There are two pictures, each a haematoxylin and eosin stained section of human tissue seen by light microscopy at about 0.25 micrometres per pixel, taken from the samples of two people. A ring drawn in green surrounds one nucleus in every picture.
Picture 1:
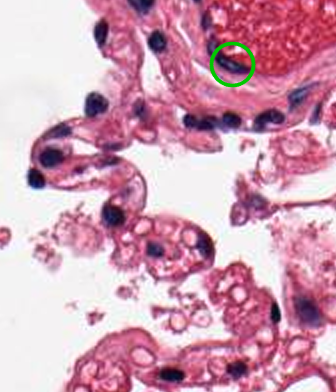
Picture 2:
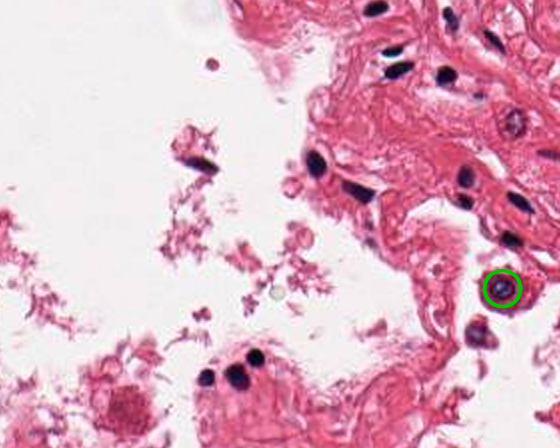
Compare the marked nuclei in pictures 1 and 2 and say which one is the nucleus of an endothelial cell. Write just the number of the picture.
1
